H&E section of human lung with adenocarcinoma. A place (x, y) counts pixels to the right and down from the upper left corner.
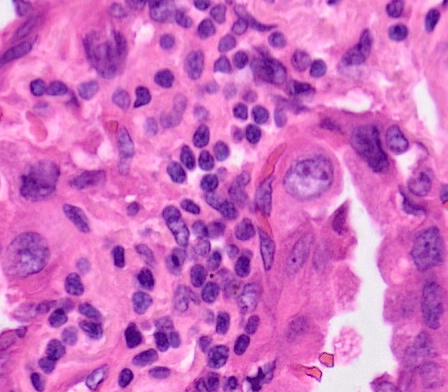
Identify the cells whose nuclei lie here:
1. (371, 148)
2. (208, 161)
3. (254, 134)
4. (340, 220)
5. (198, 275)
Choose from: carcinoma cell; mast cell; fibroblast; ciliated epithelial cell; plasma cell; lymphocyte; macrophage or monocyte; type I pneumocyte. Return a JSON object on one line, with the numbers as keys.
{"1": "carcinoma cell", "2": "lymphocyte", "3": "lymphocyte", "4": "carcinoma cell", "5": "lymphocyte"}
